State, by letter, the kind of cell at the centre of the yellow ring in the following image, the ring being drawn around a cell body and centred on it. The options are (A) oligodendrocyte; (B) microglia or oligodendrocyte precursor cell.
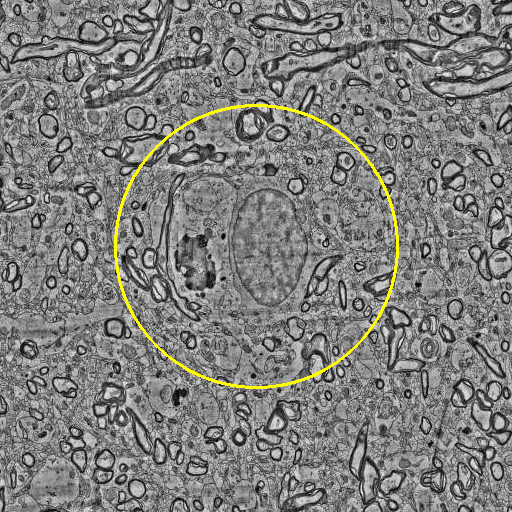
A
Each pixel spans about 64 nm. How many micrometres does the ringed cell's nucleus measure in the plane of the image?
About 7 by 5 micrometres; in this plane the nucleus is clearly longer than it is wide.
